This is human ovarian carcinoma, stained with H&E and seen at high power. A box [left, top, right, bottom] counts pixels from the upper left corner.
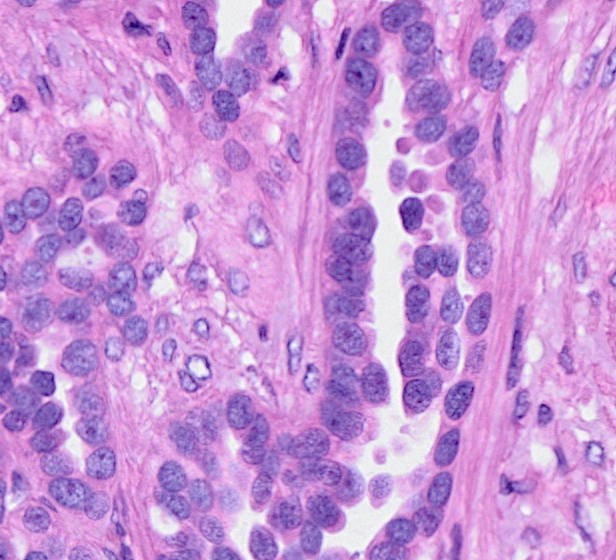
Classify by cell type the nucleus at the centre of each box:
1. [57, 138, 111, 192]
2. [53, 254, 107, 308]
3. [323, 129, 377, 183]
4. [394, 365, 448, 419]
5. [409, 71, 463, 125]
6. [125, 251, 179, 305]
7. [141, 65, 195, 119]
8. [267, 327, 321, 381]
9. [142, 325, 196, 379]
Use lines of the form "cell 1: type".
cell 1: carcinoma cell
cell 2: carcinoma cell
cell 3: carcinoma cell
cell 4: carcinoma cell
cell 5: carcinoma cell
cell 6: fibroblast
cell 7: fibroblast
cell 8: fibroblast
cell 9: fibroblast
